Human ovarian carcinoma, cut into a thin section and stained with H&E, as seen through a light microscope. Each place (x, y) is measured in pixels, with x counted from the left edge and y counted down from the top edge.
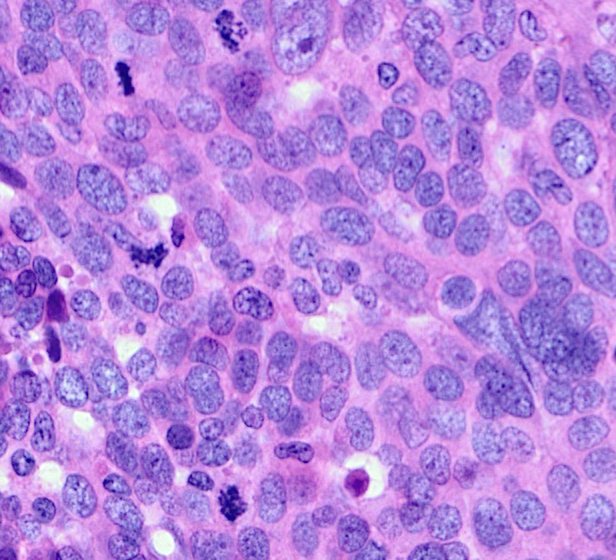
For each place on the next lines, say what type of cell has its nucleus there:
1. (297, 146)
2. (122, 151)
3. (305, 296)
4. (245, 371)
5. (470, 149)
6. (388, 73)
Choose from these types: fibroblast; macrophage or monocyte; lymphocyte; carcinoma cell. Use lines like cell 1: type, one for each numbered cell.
cell 1: carcinoma cell
cell 2: carcinoma cell
cell 3: macrophage or monocyte
cell 4: carcinoma cell
cell 5: carcinoma cell
cell 6: macrophage or monocyte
